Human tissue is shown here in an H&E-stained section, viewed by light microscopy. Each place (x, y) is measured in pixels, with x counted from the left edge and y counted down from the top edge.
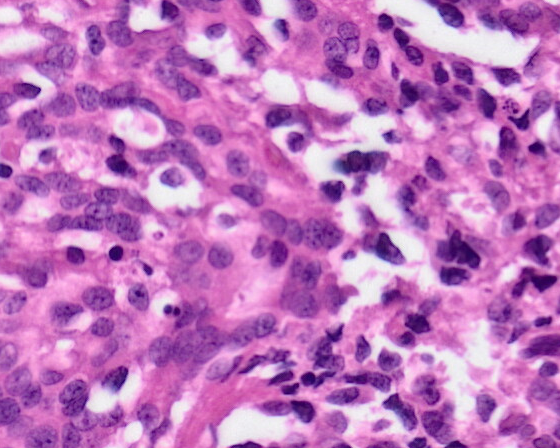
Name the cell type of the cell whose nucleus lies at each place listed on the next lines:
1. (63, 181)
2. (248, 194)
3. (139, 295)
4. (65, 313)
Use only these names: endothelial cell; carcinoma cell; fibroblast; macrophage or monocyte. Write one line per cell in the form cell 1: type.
cell 1: carcinoma cell
cell 2: carcinoma cell
cell 3: macrophage or monocyte
cell 4: carcinoma cell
